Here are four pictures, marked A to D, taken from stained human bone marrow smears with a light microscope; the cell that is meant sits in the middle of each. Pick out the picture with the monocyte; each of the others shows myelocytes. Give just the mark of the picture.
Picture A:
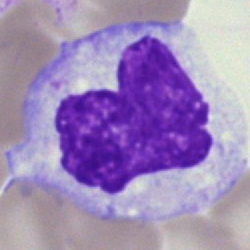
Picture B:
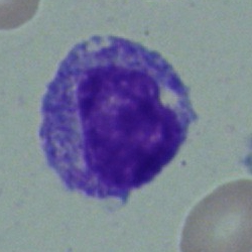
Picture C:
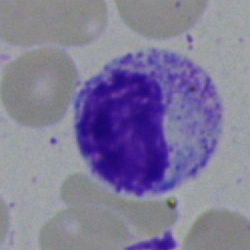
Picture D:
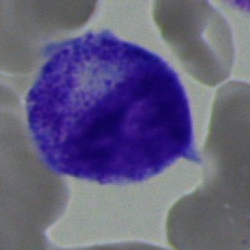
A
